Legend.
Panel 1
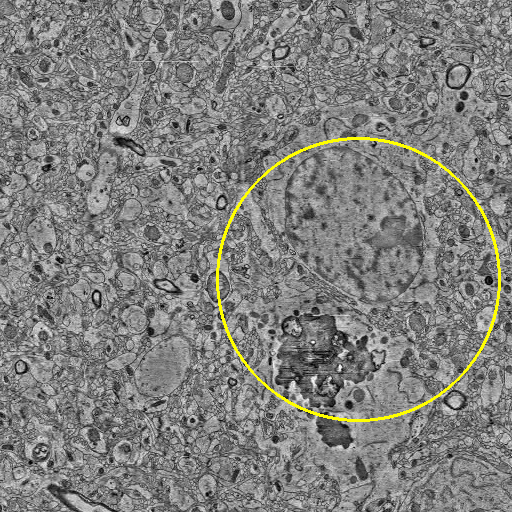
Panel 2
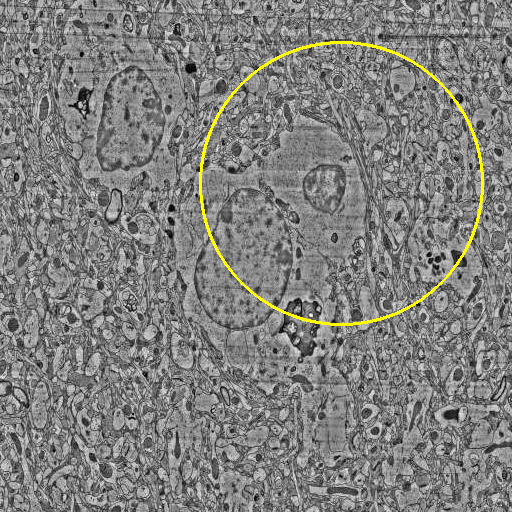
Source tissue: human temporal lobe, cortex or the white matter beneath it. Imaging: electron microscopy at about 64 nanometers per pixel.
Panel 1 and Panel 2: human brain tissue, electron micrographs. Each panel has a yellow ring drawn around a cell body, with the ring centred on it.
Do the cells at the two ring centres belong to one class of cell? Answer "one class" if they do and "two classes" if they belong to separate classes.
one class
